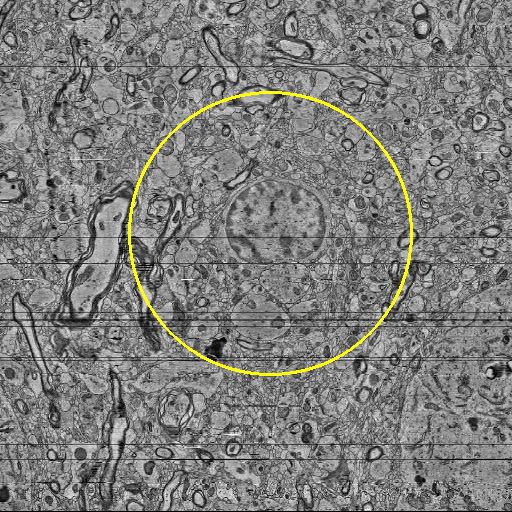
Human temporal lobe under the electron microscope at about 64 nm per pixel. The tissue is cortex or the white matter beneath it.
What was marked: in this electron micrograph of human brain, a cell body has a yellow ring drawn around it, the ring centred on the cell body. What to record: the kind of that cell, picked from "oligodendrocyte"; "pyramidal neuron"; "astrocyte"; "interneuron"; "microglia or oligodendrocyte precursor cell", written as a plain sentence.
The centred cell is an oligodendrocyte.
